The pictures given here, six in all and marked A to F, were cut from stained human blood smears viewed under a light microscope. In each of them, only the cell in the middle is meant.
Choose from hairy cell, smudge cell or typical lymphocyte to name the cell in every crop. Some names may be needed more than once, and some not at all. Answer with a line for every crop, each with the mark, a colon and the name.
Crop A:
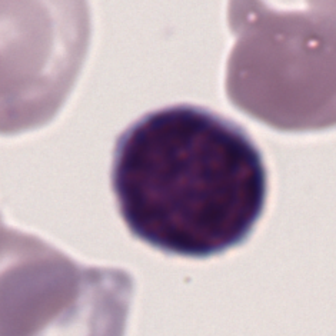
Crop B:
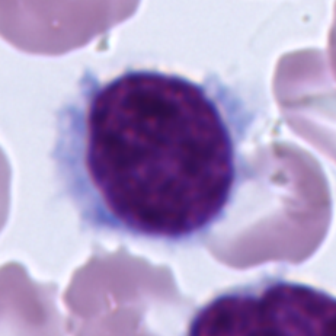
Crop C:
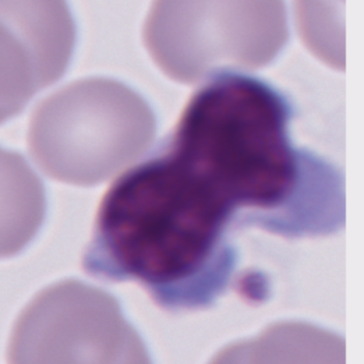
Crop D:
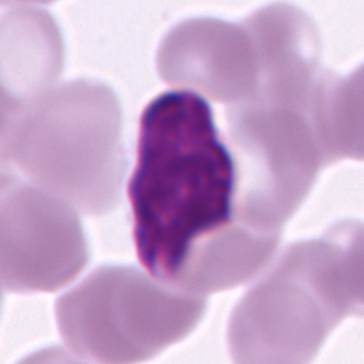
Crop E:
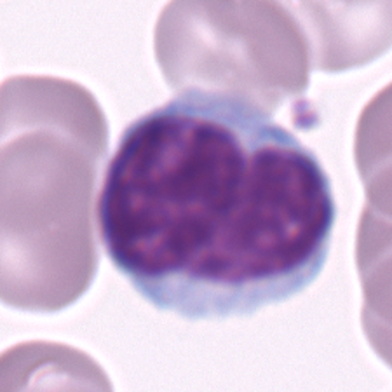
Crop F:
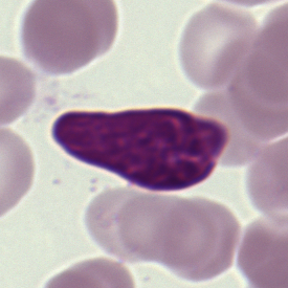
A: typical lymphocyte
B: hairy cell
C: typical lymphocyte
D: smudge cell
E: typical lymphocyte
F: smudge cell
